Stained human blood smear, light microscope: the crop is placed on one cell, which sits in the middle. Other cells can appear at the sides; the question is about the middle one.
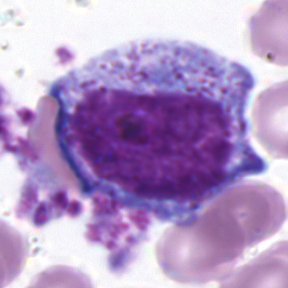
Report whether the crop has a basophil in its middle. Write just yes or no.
no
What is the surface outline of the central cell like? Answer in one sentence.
The edge of the cell is broken up by ragged stretches or by outward projections.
